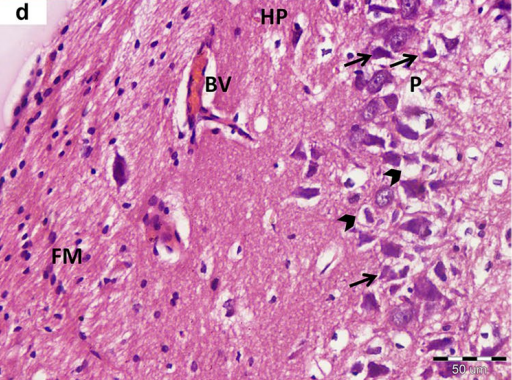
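The pyramidal cell layer of the hippocampus is disorganized: its neurons are scattered rather than in a tidy band, and many are shrunken, angular and deep purple, with dark, dense nuclei. Clear empty halos surround many of these cells, and the neuropil between them is pale and full of holes. Toward the edge lies a fibre tract with many small dark nuclei, and a blood vessel nearby is widened and filled with red blood cells. Compared with a normal layer of rounded neurons with pale nuclei, this shows cell shrinkage, pyknotic nuclei, vacuolization and loss of neurons.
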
